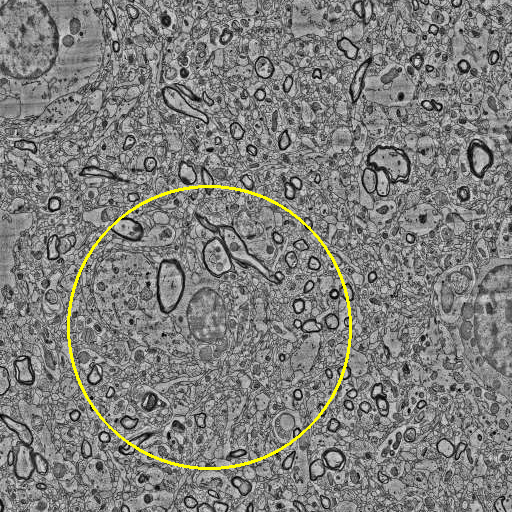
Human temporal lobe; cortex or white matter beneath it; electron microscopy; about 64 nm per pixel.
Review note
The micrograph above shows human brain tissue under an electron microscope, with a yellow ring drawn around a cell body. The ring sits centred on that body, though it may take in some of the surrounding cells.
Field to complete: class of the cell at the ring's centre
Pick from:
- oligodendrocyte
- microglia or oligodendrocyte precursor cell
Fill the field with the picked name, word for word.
oligodendrocyte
